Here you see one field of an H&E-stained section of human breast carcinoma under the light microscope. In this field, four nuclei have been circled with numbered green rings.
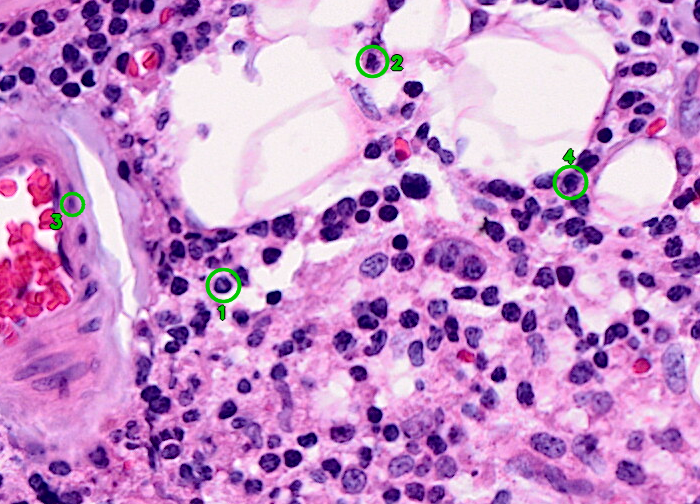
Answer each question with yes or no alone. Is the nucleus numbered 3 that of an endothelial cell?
yes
